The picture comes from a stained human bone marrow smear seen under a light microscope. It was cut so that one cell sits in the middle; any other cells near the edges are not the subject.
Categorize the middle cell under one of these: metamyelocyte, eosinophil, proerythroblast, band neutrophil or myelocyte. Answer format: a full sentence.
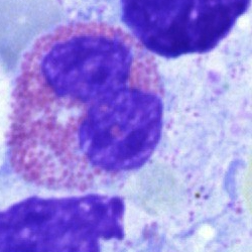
The central cell, amid any neighbouring cells, is an eosinophil.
